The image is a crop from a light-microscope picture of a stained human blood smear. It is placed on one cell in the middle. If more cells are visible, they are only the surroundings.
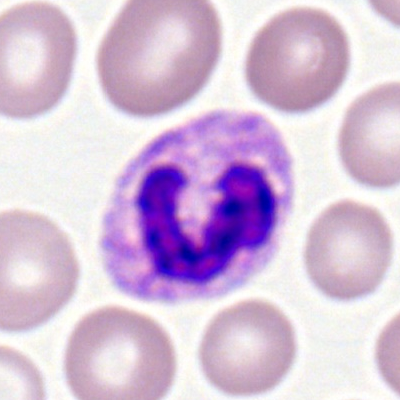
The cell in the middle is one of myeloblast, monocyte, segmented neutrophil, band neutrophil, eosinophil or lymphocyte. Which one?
band neutrophil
